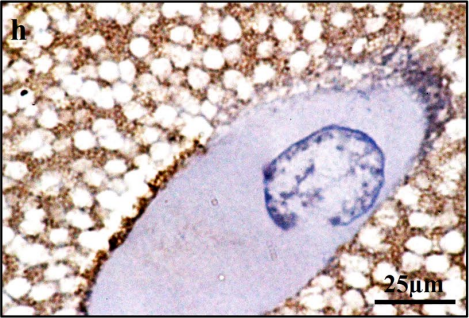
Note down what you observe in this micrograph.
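In the centre lies a large pale oval nucleus, tinted blue-grey and free of brown stain. Inside it a smaller rounded body with a darker blue rim and mottled interior can be seen. Along the nucleus edge at the upper right the brown cytoplasm grades into a bluish rim.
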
